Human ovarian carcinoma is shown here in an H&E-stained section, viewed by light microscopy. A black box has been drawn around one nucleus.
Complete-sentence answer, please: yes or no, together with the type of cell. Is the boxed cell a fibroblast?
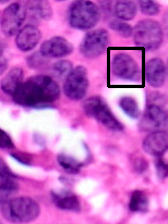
No, kindly revise that, as the boxed cell is a carcinoma cell rather than a fibroblast.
